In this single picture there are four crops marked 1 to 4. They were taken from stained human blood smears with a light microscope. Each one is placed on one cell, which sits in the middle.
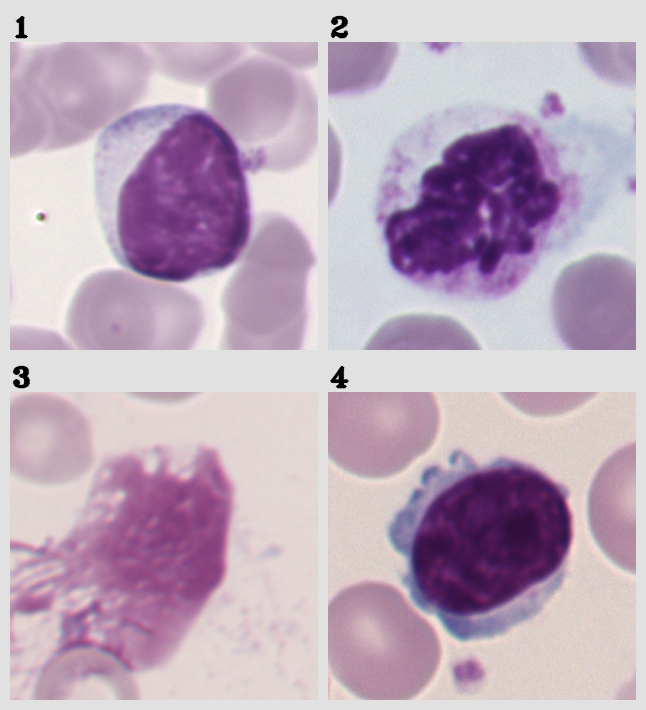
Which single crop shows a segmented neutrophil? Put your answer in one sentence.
Crop 2 is the one in the set with a segmented neutrophil at the center.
